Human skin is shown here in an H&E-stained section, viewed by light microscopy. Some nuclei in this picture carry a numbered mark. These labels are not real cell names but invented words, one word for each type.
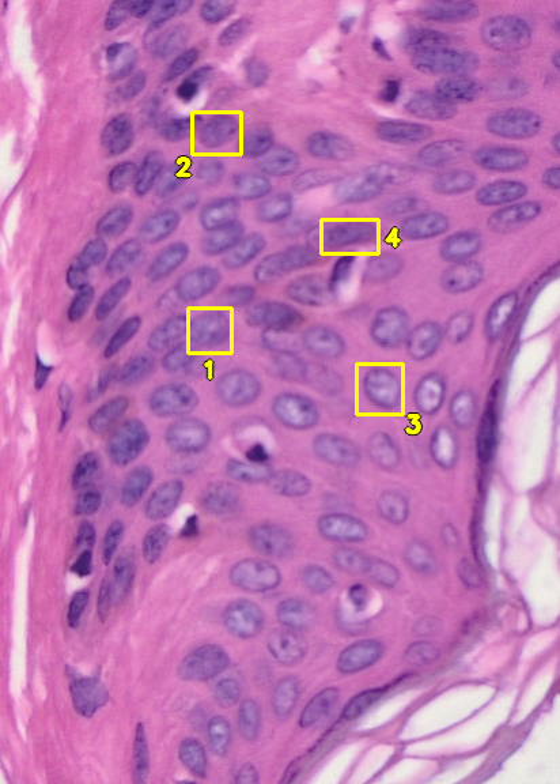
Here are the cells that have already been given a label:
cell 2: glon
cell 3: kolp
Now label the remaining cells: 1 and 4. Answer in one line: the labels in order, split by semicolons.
kolp; glon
